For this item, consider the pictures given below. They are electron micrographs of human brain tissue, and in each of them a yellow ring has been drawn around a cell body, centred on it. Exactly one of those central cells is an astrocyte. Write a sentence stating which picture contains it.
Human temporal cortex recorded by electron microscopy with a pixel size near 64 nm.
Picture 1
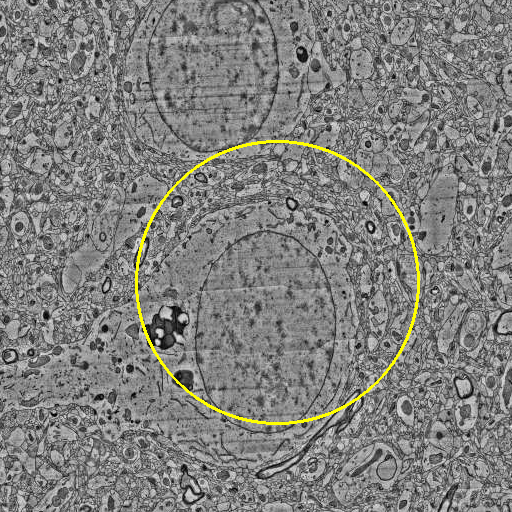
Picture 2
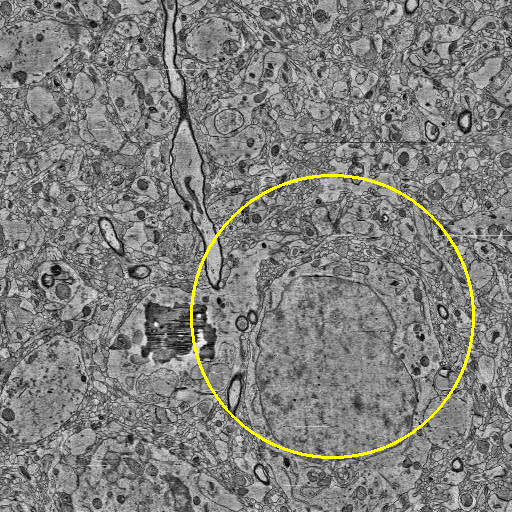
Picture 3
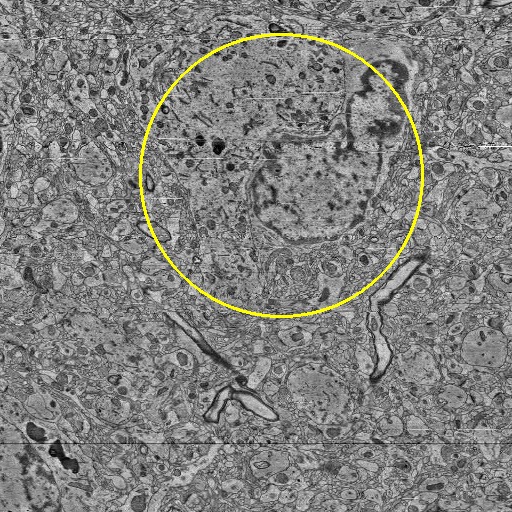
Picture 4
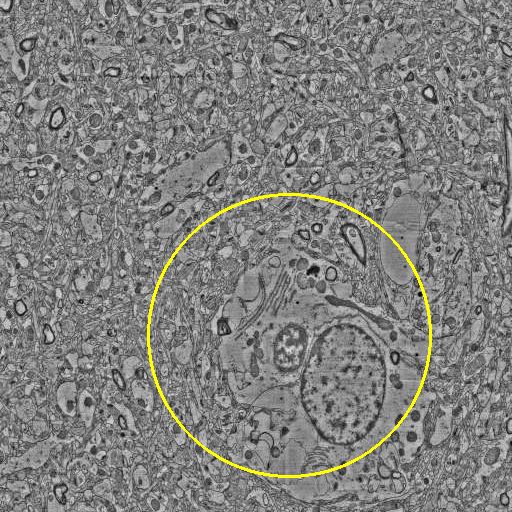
It is in Picture 4.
